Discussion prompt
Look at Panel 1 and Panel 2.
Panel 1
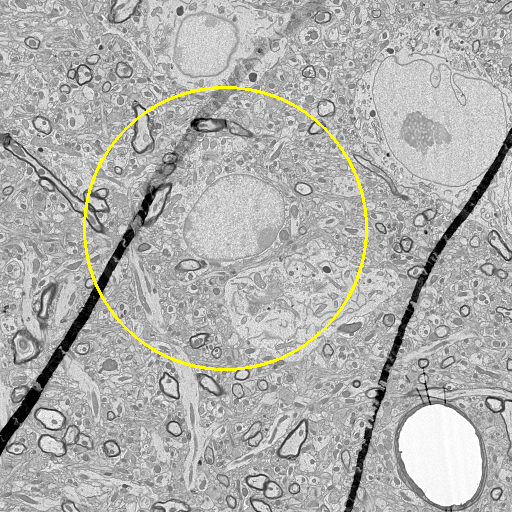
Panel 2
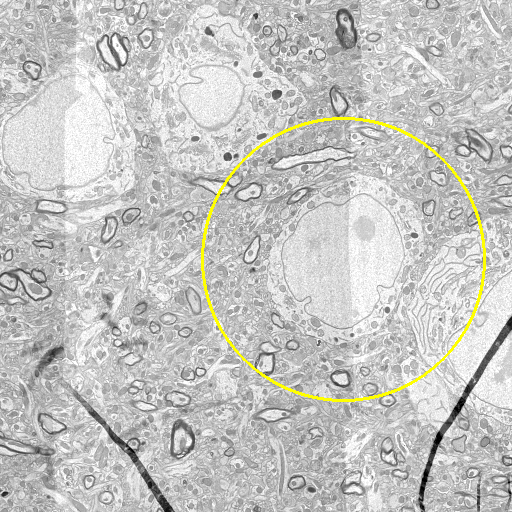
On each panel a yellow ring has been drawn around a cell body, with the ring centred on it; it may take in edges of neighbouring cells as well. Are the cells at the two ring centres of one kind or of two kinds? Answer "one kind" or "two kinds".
two kinds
